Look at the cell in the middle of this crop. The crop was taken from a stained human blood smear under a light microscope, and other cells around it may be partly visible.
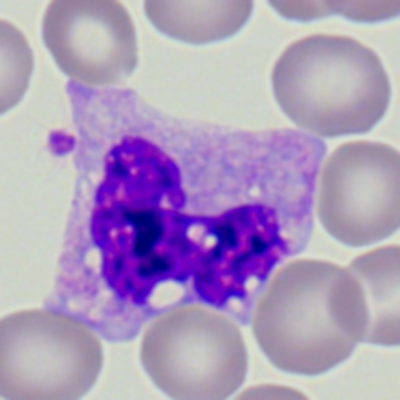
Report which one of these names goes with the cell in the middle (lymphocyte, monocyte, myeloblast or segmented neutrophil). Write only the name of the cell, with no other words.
monocyte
